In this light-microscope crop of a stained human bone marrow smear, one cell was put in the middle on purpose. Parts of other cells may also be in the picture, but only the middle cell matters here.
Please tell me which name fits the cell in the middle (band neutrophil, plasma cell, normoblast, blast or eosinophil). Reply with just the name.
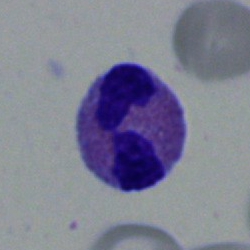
eosinophil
